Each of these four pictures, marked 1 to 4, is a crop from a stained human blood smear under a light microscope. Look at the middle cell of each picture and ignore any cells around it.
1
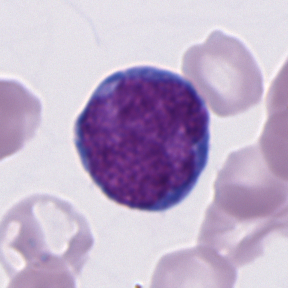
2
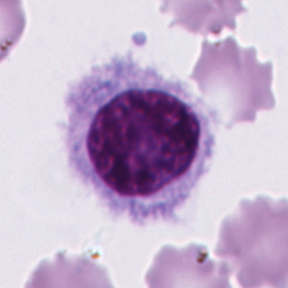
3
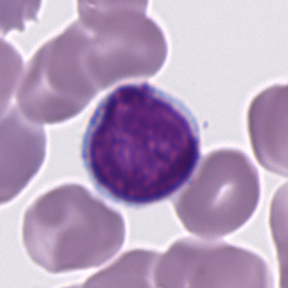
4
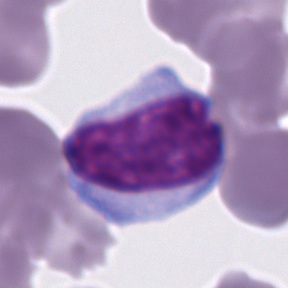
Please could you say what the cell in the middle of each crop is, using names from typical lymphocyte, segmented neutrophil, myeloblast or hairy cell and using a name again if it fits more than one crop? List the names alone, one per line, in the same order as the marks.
myeloblast
hairy cell
typical lymphocyte
typical lymphocyte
